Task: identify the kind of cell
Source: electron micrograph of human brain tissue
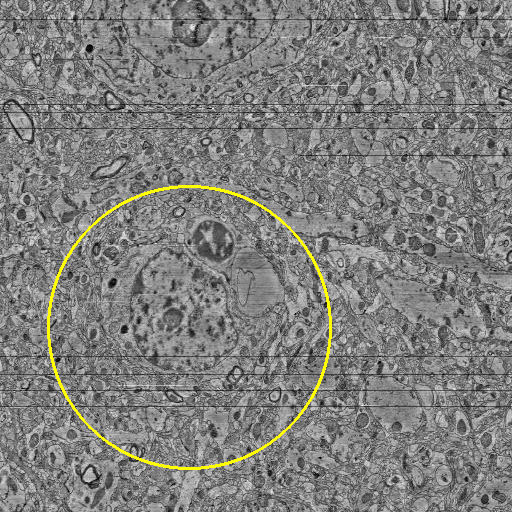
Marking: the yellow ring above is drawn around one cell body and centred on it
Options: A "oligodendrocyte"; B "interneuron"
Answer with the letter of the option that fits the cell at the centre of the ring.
B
